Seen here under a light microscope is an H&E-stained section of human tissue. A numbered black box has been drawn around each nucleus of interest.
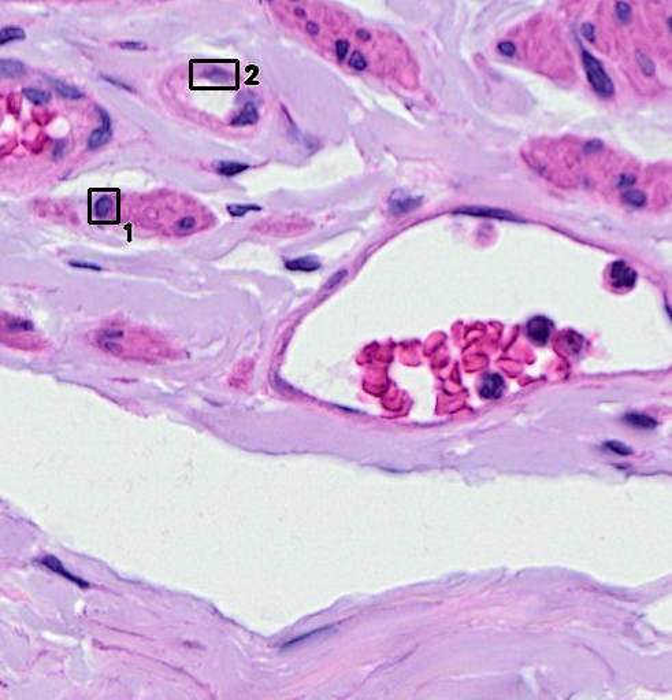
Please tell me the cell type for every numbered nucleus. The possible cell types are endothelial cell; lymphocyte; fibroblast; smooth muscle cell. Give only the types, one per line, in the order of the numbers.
smooth muscle cell
endothelial cell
